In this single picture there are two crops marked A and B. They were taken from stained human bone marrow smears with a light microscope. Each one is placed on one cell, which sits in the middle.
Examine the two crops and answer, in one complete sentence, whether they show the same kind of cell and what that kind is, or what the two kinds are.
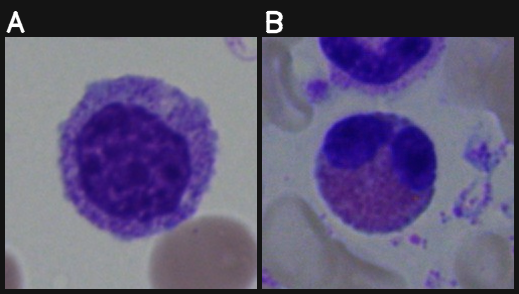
No, crop A shows a myelocyte, with an eosinophil shown in crop B.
